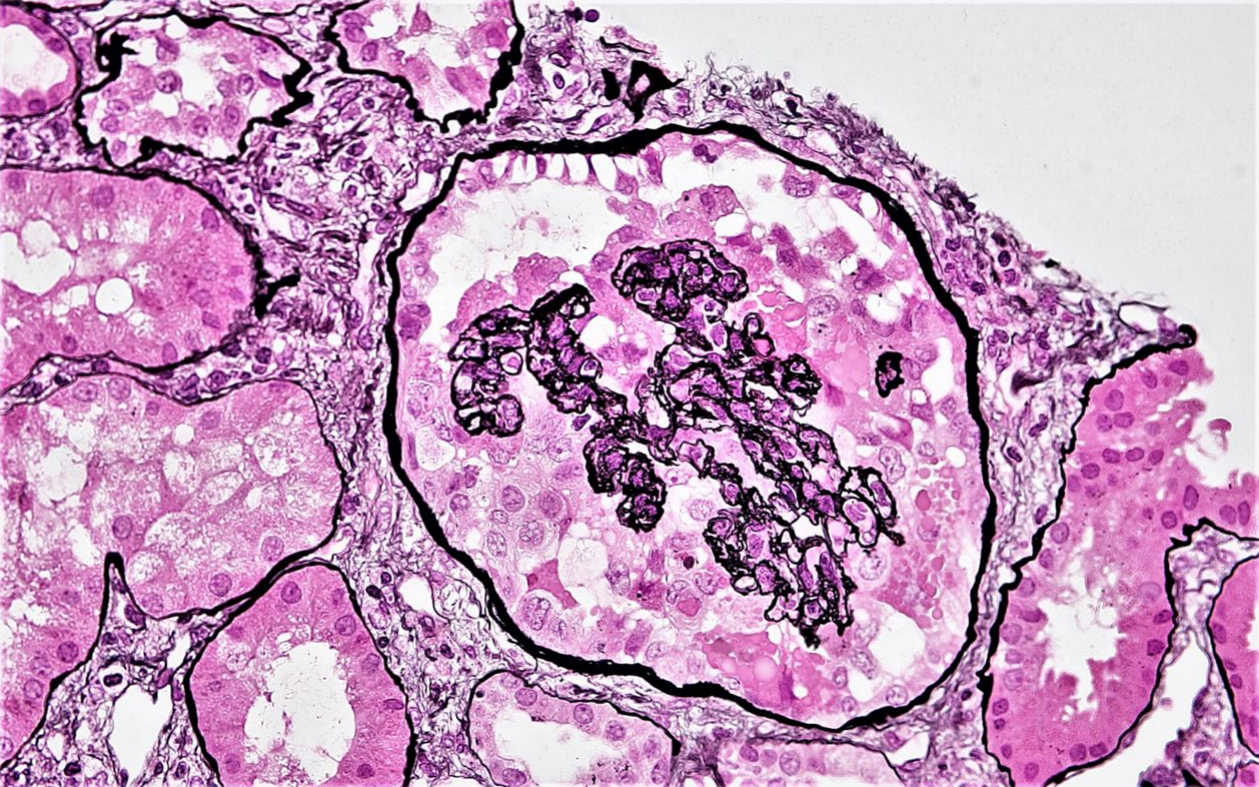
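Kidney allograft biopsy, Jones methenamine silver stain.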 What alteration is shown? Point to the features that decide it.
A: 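The black-outlined capillary loops in the center of the round structure are shrunken and bunched together. The open capillary lumens are largely obliterated.
Hence: global collapse of the glomerular tuft.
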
